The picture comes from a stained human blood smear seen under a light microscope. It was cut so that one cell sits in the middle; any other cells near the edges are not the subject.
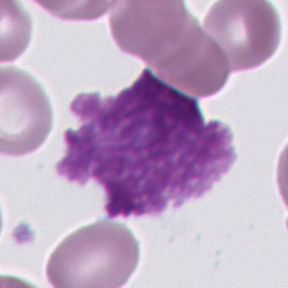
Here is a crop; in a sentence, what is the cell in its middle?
The central cell in this smear crop is a smudge cell.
